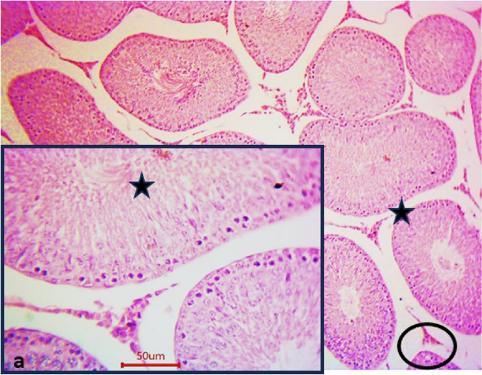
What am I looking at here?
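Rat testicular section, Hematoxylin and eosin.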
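Closely packed round and oval seminiferous tubules are lined by a thick, many-layered germinal epithelium, with dark purple nuclei near the basement membrane and paler pink cells toward the lumen, where fine fibrillar material gathers. Narrow spaces between the tubules hold small groups of pink interstitial cells of Leydig beside thin connective tissue. This is the ordinary architecture of the testis.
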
